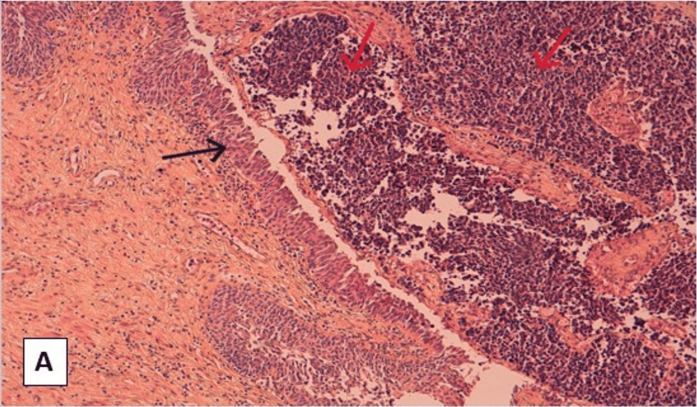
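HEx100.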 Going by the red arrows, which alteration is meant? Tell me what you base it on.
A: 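Sheet-like proliferation. Dense solid sheets of small dark-staining cells fill the right part of the field. No glands or layering are formed within the cell mass.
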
